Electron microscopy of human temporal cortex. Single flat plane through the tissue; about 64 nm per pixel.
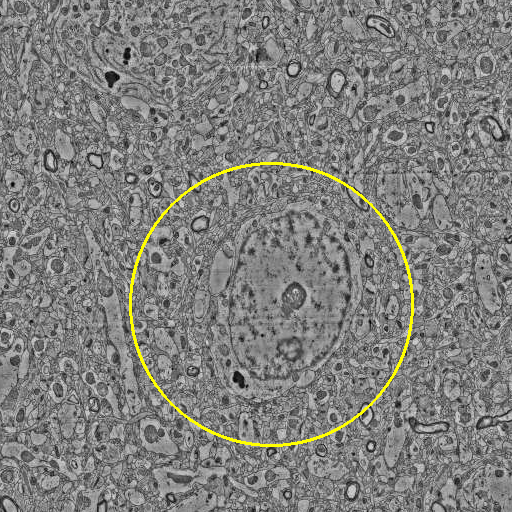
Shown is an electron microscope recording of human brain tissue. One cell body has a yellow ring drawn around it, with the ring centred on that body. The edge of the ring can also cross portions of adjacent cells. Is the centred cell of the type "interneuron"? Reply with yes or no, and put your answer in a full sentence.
Yes, in the picture, the cell on which the ring is centred has this type.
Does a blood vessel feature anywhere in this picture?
No, no vessel shows anywhere in the image.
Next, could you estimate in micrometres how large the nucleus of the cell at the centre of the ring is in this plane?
The nucleus of the ringed cell is approximately 11 by 8 micrometres in this plane.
